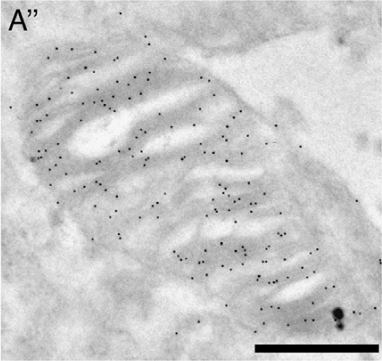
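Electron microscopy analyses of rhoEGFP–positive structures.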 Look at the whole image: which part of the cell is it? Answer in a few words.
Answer: Disc membrane staples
